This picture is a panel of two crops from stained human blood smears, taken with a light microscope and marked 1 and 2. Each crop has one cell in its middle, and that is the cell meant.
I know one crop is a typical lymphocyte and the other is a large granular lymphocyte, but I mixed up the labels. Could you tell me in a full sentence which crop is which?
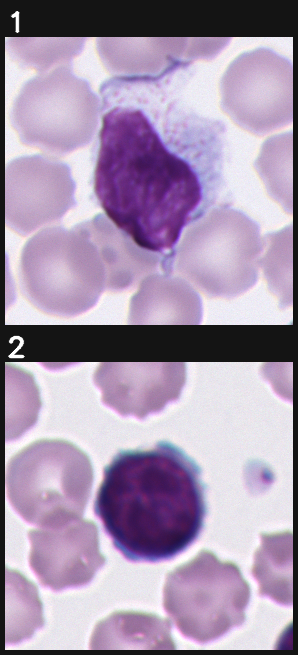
Crop 1 contains a large granular lymphocyte, and crop 2, a typical lymphocyte.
